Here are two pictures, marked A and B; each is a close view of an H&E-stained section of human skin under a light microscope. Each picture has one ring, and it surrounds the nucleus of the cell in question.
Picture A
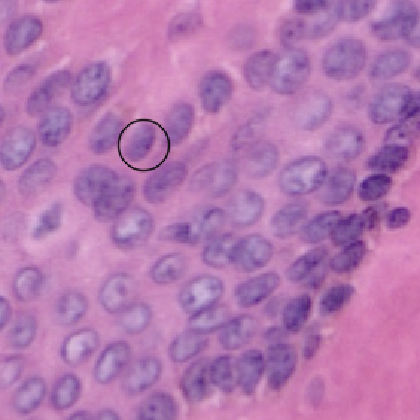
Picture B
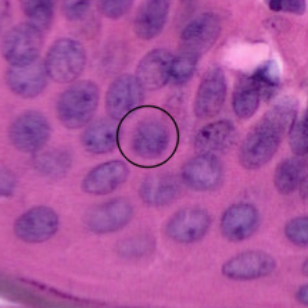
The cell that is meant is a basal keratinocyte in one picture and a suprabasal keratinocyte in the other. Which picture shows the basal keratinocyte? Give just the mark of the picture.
A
